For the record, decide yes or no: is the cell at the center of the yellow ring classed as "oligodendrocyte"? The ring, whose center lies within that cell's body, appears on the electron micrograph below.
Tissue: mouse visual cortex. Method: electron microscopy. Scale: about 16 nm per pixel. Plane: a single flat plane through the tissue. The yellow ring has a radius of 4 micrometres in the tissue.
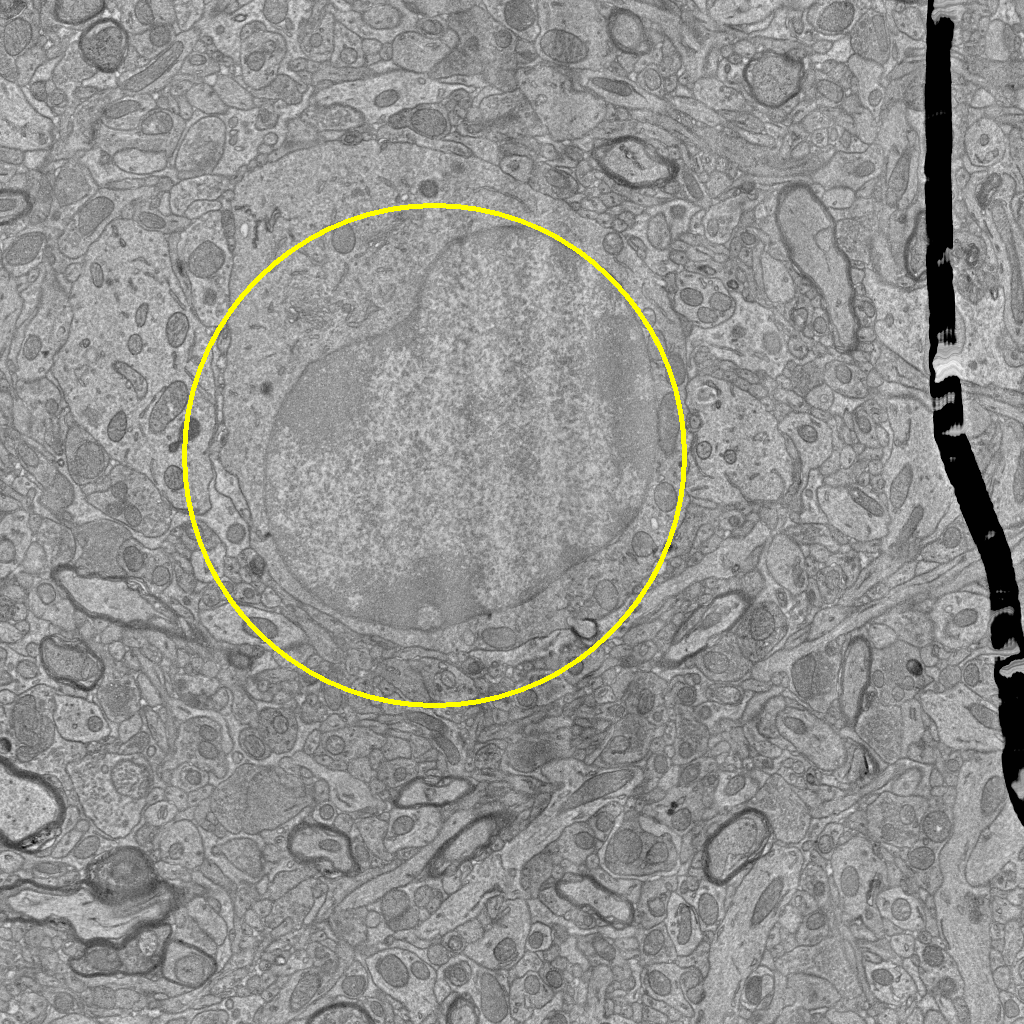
yes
